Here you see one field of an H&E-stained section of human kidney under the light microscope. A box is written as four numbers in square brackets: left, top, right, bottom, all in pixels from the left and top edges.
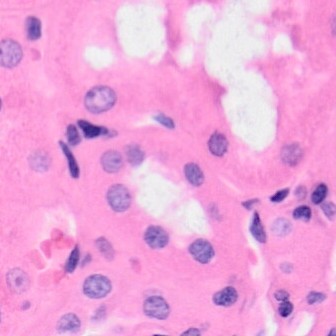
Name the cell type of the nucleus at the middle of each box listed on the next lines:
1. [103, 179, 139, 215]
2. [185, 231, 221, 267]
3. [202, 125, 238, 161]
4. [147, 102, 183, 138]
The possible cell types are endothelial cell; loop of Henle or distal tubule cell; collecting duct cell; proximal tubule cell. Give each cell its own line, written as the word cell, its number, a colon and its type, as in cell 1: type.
cell 1: loop of Henle or distal tubule cell
cell 2: loop of Henle or distal tubule cell
cell 3: proximal tubule cell
cell 4: endothelial cell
